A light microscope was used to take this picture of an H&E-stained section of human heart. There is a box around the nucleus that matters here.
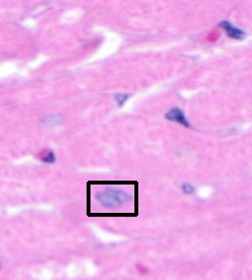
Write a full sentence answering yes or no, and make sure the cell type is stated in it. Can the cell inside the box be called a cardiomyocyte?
Yes, the identification of the cell inside the box as a cardiomyocyte stands.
